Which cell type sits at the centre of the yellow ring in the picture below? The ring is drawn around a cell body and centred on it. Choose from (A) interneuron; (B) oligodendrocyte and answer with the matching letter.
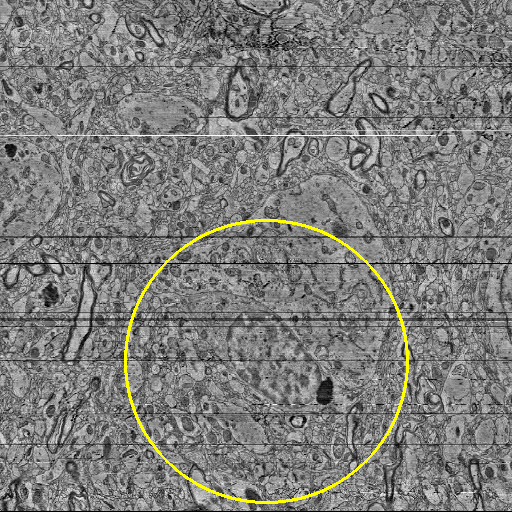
B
